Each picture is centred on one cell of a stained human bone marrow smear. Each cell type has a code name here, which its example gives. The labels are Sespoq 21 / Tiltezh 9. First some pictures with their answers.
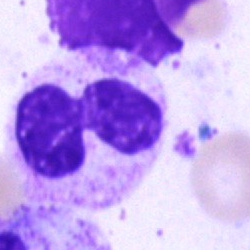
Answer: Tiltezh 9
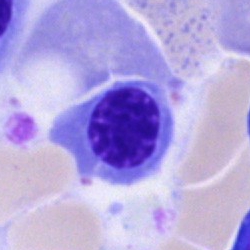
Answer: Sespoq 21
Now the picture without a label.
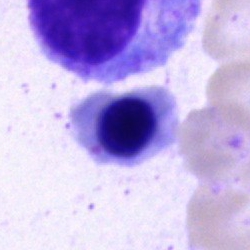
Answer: Sespoq 21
